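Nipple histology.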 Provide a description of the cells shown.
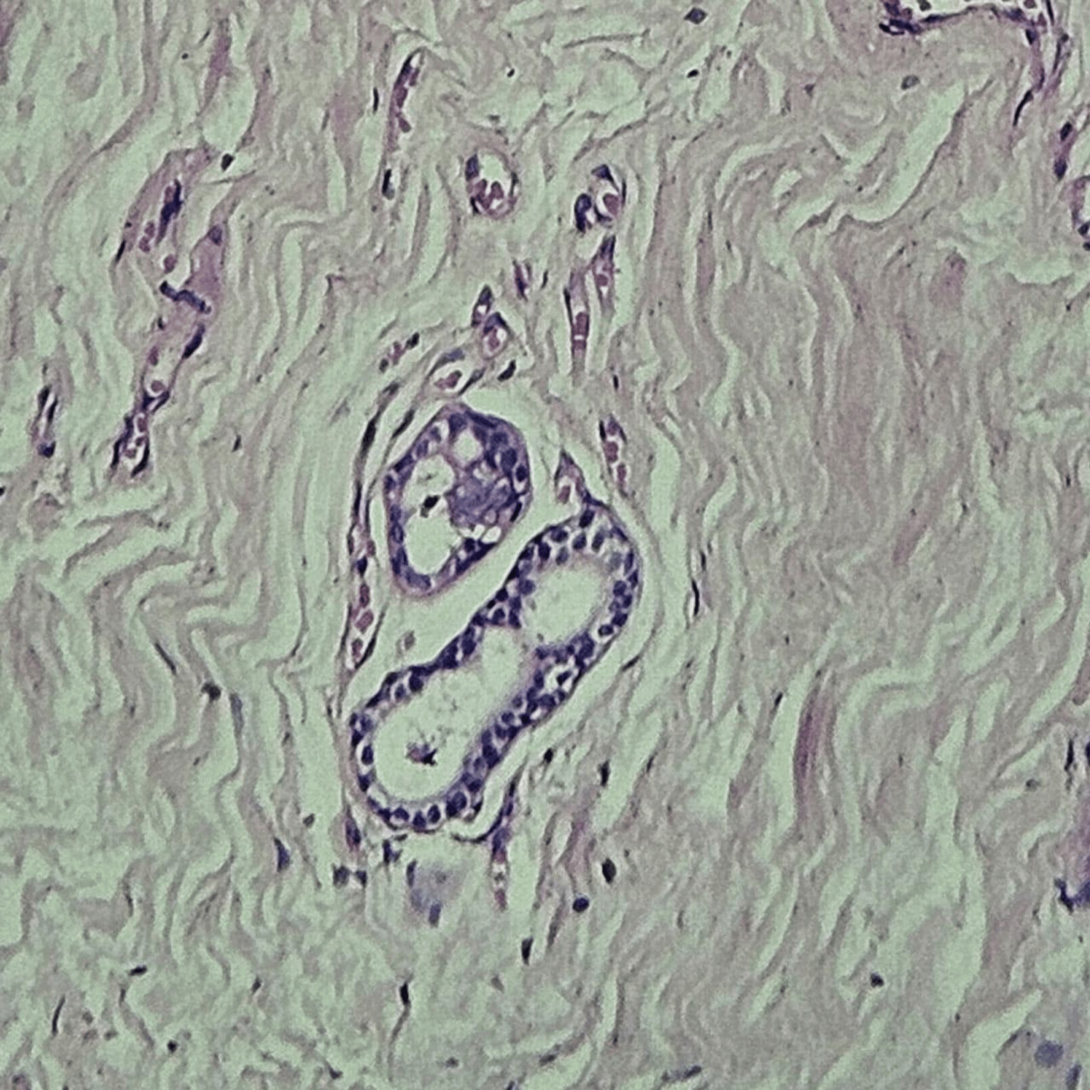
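The lining cells are small and cuboidal, with round dark-purple nuclei of even size, arranged in one or two layers around open lumens. The lower duct is elongated, with a largely empty pale lumen. Small thin-walled vessels and a few scattered spindle-shaped nuclei run through the collagen around the ducts.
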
